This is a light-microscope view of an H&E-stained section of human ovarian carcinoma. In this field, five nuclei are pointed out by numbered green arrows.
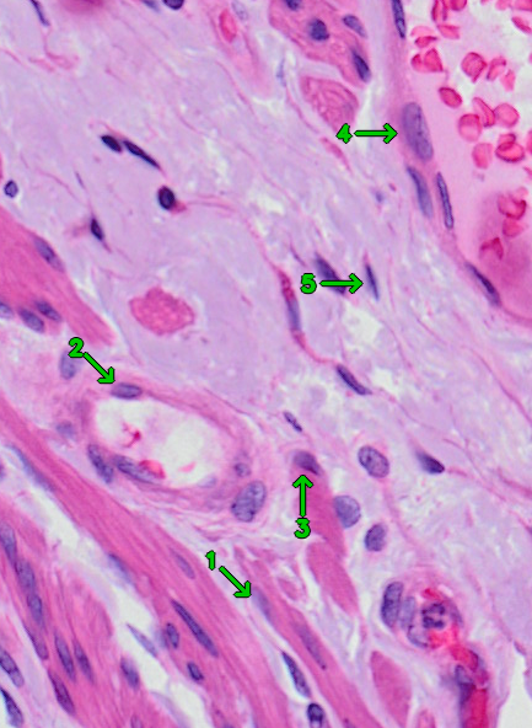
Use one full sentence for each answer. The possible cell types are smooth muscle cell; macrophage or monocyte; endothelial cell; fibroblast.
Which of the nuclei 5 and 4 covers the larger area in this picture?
Nucleus 4 is the larger one, covering about 3 times the area of nucleus 5.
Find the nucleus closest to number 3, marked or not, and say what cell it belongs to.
The cell nearest to number 3 is a macrophage or monocyte.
